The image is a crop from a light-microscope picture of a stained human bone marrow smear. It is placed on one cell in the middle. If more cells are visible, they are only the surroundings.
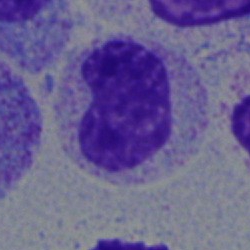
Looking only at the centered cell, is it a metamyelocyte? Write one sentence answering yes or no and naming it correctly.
Yes, the cell in the middle is rightly called a metamyelocyte.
